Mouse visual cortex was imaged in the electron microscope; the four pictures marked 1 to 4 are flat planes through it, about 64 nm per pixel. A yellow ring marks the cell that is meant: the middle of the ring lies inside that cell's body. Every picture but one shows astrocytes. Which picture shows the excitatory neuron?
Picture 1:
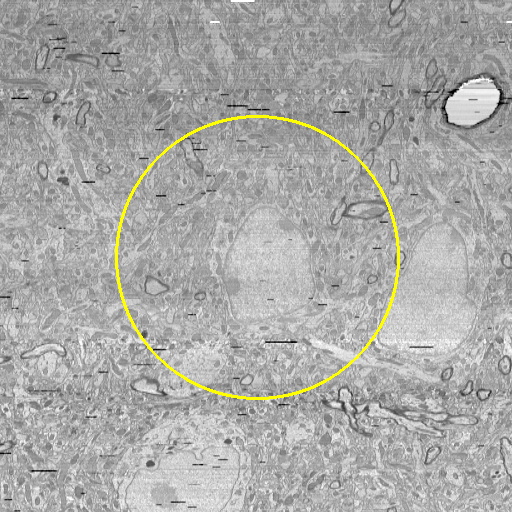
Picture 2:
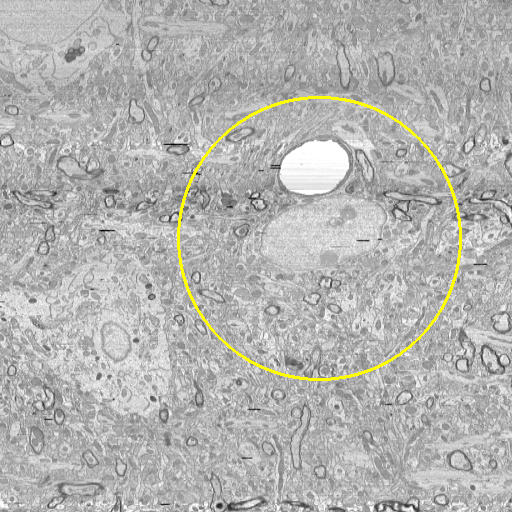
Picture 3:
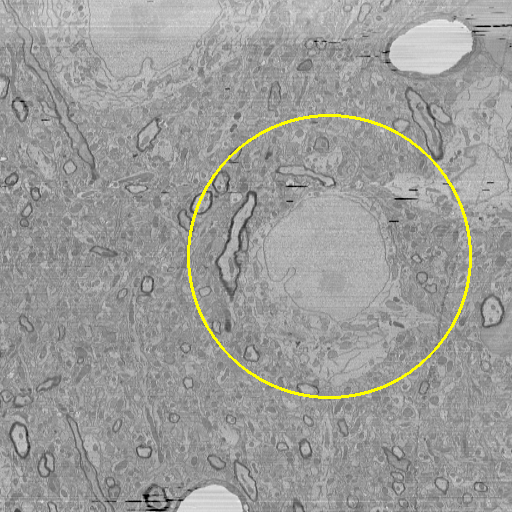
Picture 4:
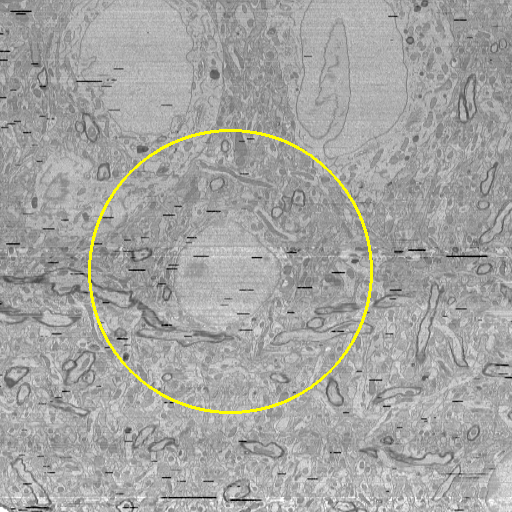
The cell in picture 3 is the excitatory neuron.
